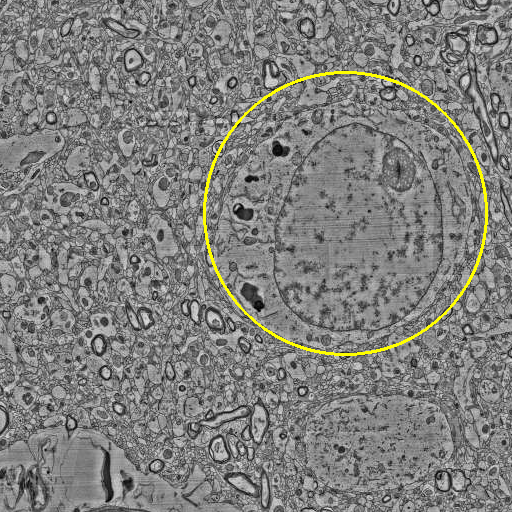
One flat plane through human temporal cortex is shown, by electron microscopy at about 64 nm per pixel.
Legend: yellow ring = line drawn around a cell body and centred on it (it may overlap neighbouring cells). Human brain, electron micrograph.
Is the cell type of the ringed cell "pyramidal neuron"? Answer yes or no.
yes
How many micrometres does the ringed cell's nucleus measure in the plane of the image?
Roughly 13 micrometres by 11 micrometres, in this plane.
